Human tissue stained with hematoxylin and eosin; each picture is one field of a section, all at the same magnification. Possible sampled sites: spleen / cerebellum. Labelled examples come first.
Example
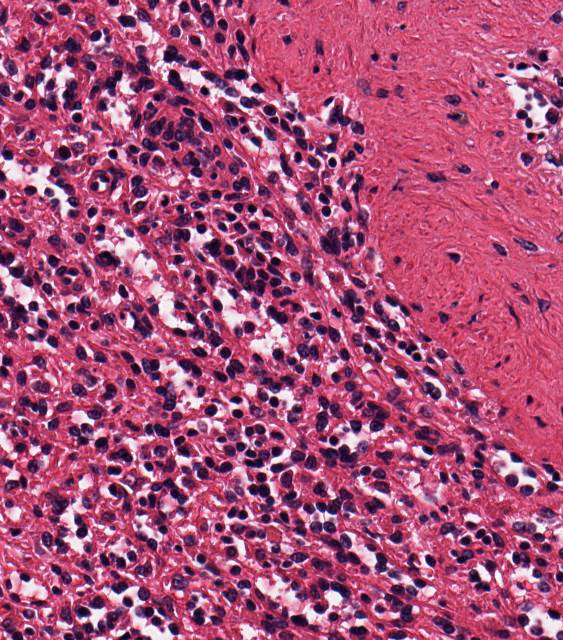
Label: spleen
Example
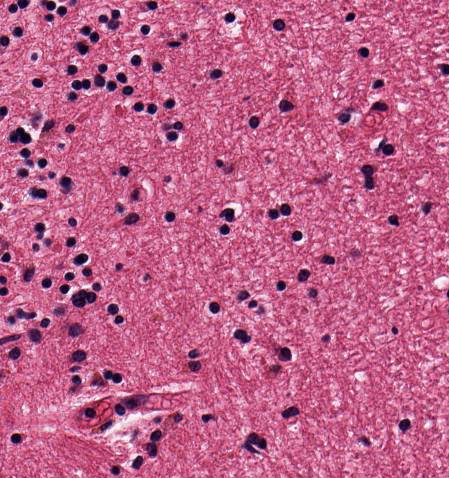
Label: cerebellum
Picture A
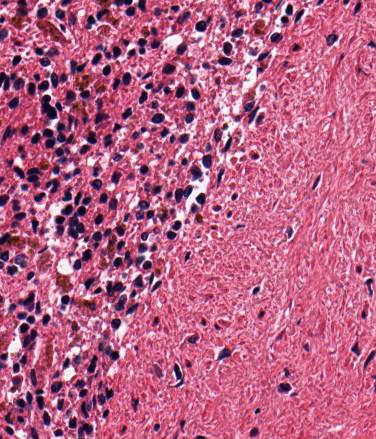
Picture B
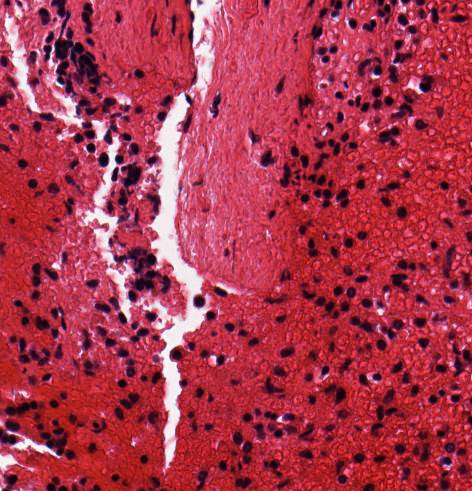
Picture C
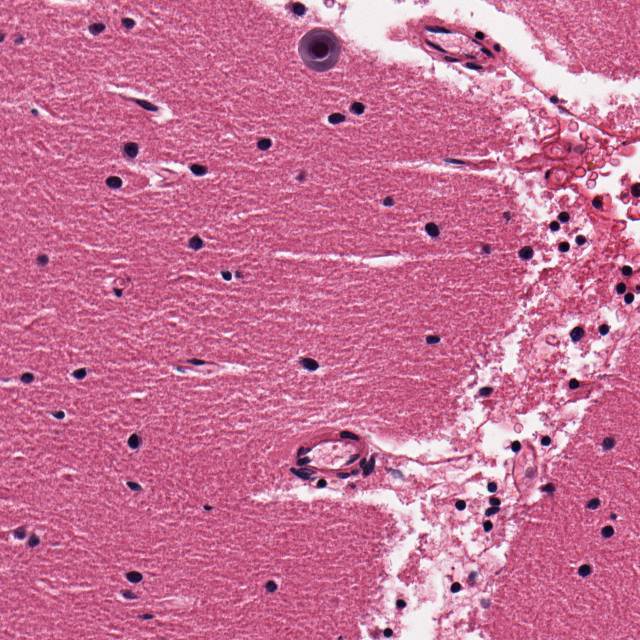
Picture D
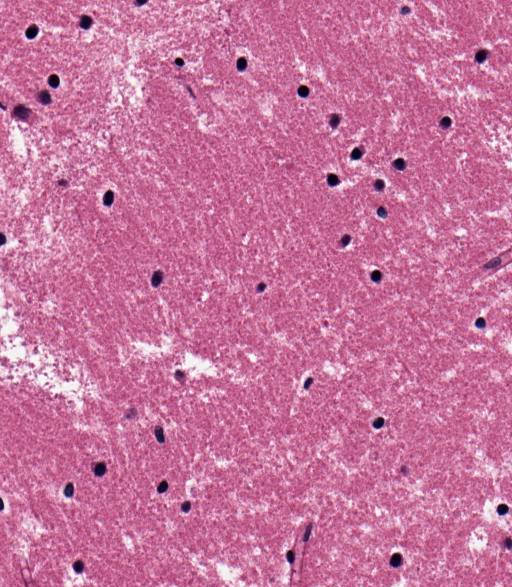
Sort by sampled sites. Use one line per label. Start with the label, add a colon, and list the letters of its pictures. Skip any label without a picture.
spleen: A, B
cerebellum: C, D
